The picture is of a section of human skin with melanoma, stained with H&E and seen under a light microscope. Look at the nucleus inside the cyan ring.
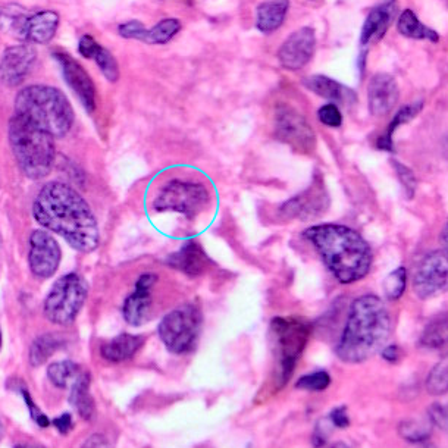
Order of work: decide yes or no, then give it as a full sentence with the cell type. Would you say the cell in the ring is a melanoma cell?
Yes, the cell in the ring is assigned the identity of a melanoma cell.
